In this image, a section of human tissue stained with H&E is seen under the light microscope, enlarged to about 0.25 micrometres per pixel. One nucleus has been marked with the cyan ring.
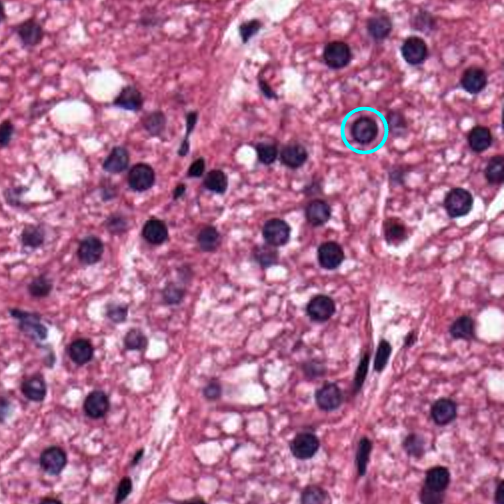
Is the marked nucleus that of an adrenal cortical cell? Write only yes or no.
yes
